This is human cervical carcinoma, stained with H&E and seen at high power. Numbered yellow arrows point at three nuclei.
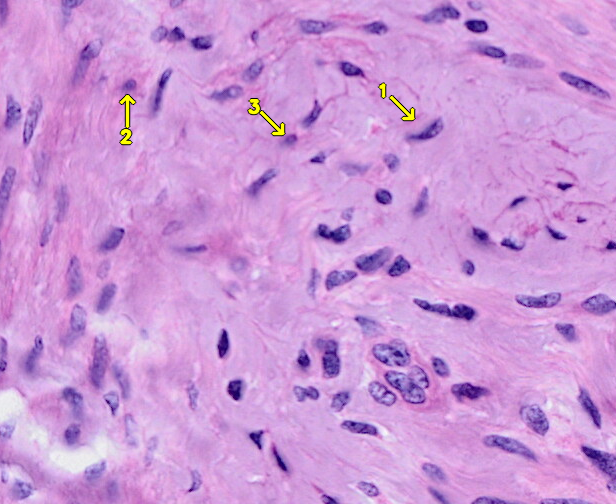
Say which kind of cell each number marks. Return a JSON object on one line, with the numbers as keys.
{"1": "fibroblast", "2": "smooth muscle cell", "3": "smooth muscle cell"}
